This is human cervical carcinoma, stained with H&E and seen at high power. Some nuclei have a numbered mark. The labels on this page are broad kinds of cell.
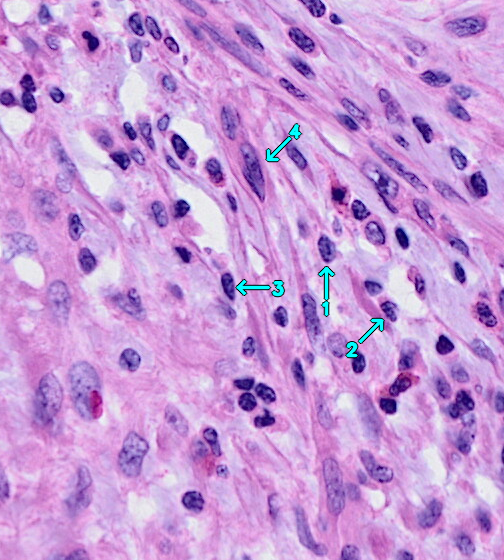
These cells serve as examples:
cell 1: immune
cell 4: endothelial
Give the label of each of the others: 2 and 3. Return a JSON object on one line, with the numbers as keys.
{"2": "immune", "3": "immune"}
